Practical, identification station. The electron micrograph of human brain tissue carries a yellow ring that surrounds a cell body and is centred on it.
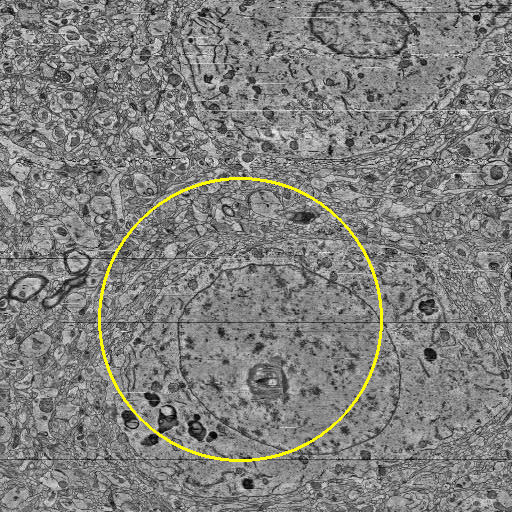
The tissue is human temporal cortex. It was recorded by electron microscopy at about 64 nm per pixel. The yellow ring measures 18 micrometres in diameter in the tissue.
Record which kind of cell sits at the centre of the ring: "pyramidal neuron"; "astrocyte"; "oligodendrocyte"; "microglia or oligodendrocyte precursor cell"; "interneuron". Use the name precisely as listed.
pyramidal neuron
